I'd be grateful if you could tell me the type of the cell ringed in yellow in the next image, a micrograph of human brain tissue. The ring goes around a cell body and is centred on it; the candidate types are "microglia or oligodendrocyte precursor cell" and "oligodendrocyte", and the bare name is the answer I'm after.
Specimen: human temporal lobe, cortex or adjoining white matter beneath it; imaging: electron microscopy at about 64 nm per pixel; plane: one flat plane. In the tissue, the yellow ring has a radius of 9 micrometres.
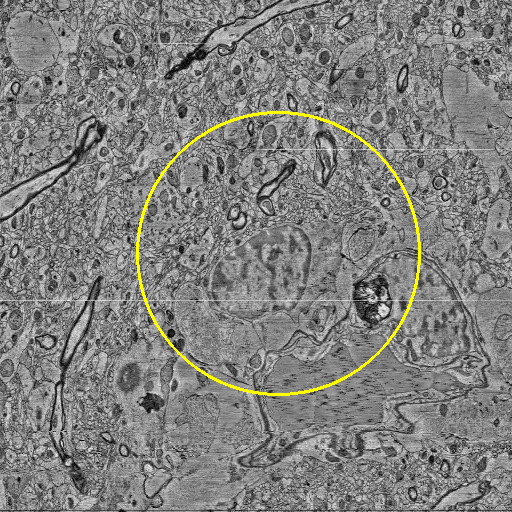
oligodendrocyte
